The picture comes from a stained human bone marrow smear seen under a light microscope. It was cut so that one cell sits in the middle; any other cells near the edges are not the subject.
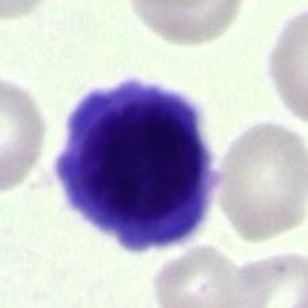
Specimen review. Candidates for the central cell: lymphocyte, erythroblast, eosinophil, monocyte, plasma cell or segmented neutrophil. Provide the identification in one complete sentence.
The cell at the heart of this crop is an erythroblast.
